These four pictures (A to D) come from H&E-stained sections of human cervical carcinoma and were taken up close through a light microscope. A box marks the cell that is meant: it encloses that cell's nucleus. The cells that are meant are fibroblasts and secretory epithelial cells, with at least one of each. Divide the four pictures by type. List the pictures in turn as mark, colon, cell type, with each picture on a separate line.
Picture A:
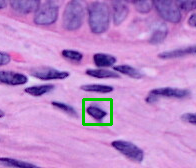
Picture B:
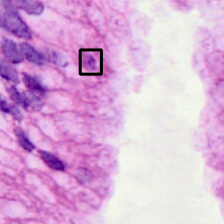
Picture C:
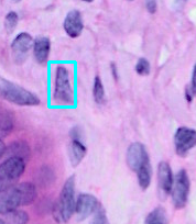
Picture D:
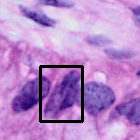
A: fibroblast
B: secretory epithelial cell
C: fibroblast
D: secretory epithelial cell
